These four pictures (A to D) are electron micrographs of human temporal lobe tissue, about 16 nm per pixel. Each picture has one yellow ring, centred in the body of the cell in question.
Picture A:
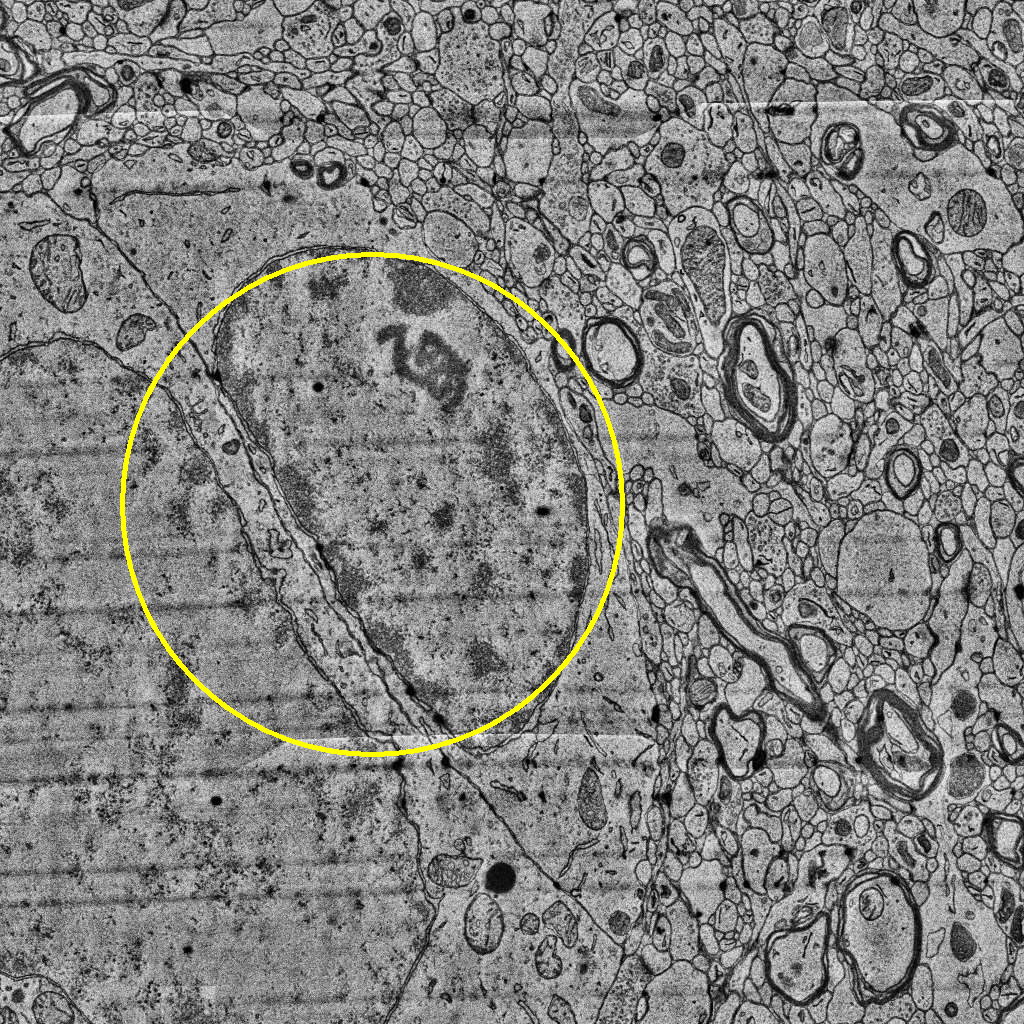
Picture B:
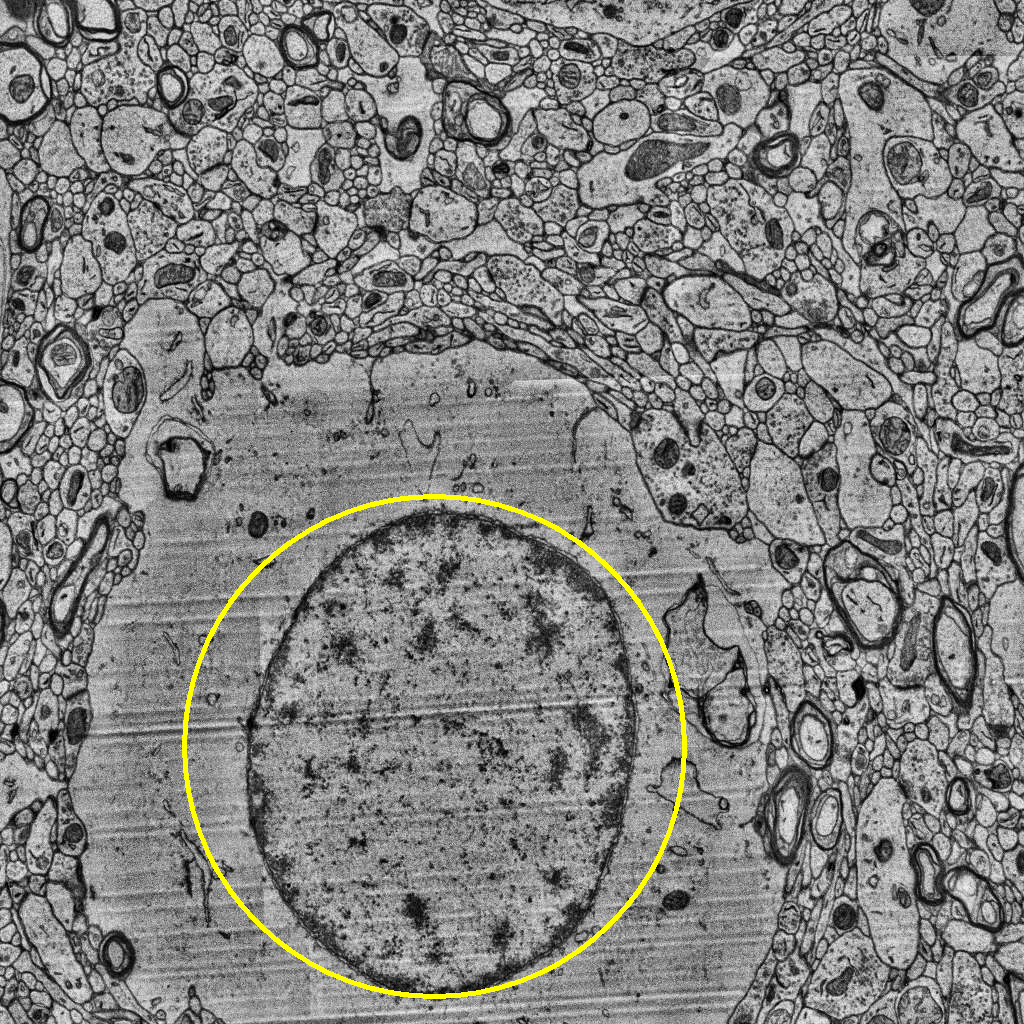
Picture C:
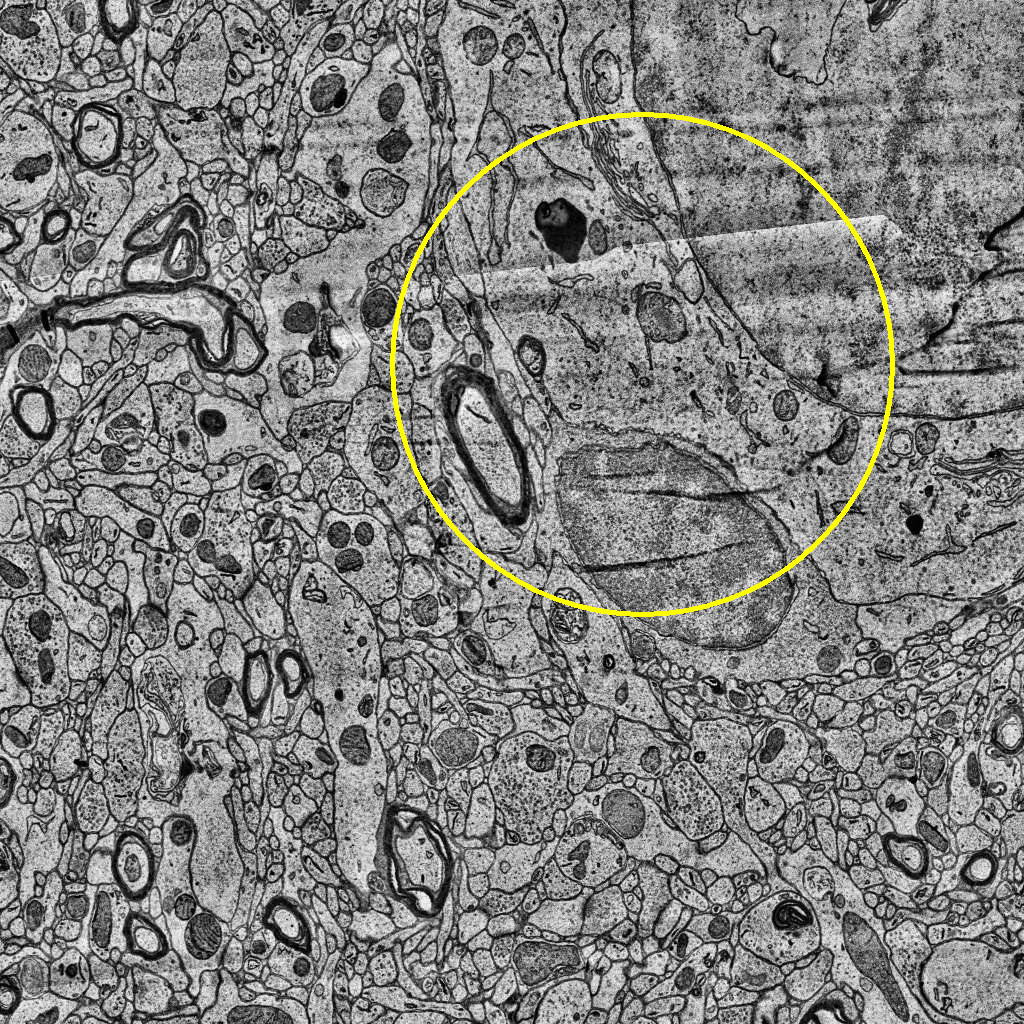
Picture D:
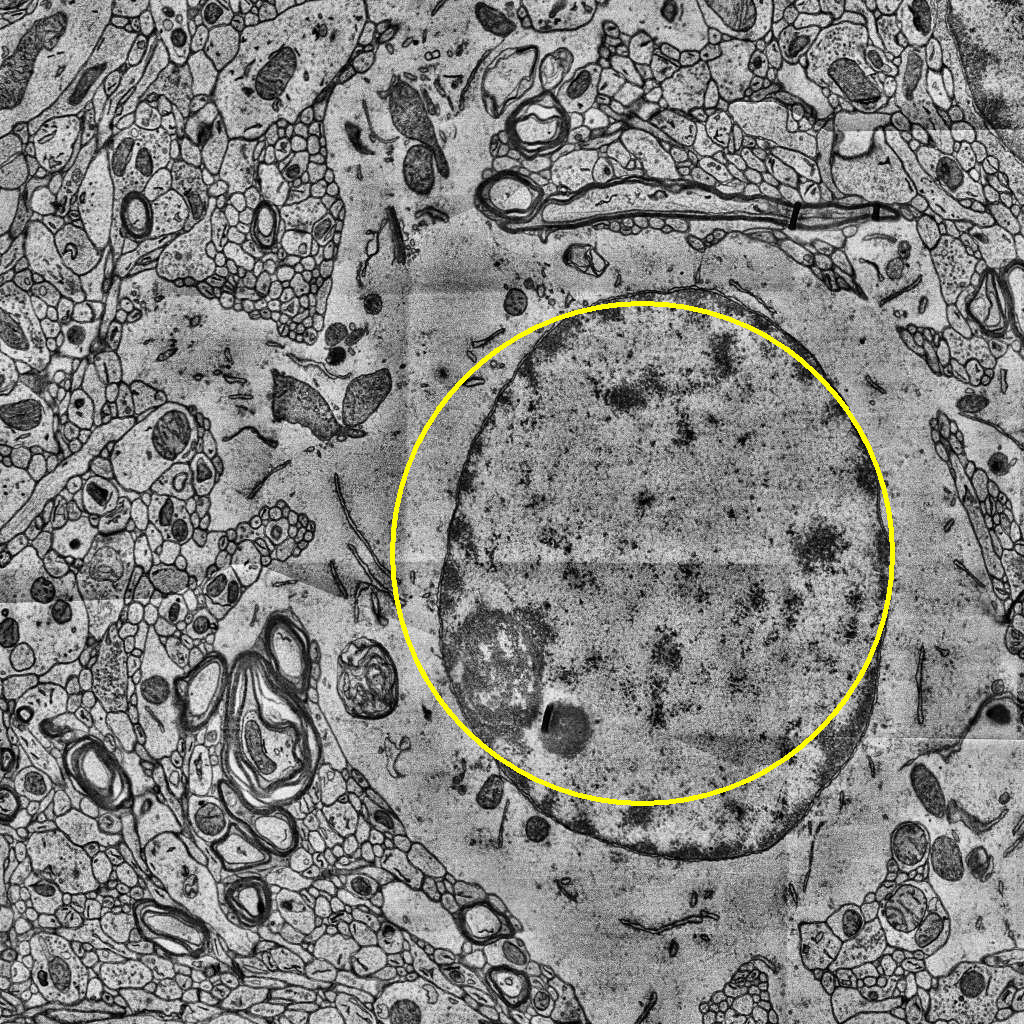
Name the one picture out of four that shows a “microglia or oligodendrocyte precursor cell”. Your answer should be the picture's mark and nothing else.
A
